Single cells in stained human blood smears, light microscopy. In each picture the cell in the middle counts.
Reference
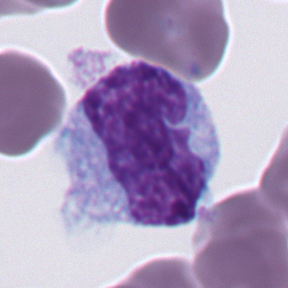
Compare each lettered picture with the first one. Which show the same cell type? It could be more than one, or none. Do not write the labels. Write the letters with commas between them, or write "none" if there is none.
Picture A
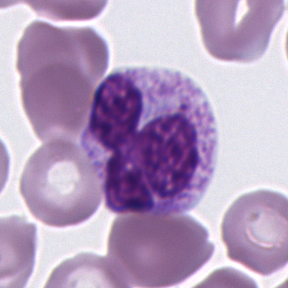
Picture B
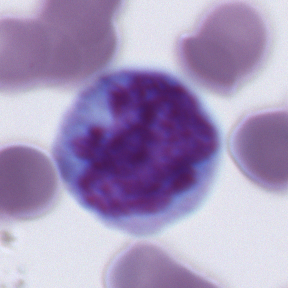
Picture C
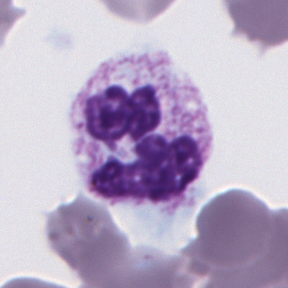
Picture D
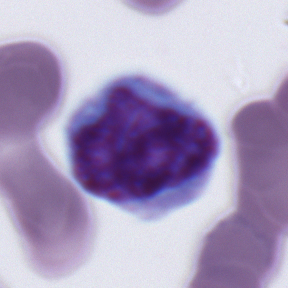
B, D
